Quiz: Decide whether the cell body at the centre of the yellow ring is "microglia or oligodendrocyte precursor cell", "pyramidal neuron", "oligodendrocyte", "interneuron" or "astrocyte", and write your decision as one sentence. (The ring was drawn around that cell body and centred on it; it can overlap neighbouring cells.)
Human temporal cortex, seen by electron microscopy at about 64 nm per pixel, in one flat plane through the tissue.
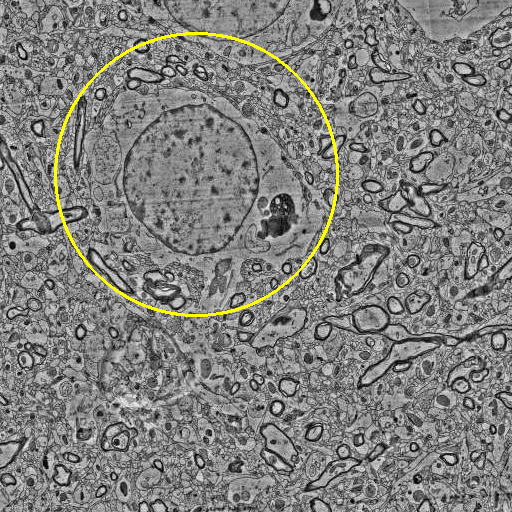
The cell the ring is centred on is an astrocyte.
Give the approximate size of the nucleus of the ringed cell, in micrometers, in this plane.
Approximately 9 micrometres across in this plane.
